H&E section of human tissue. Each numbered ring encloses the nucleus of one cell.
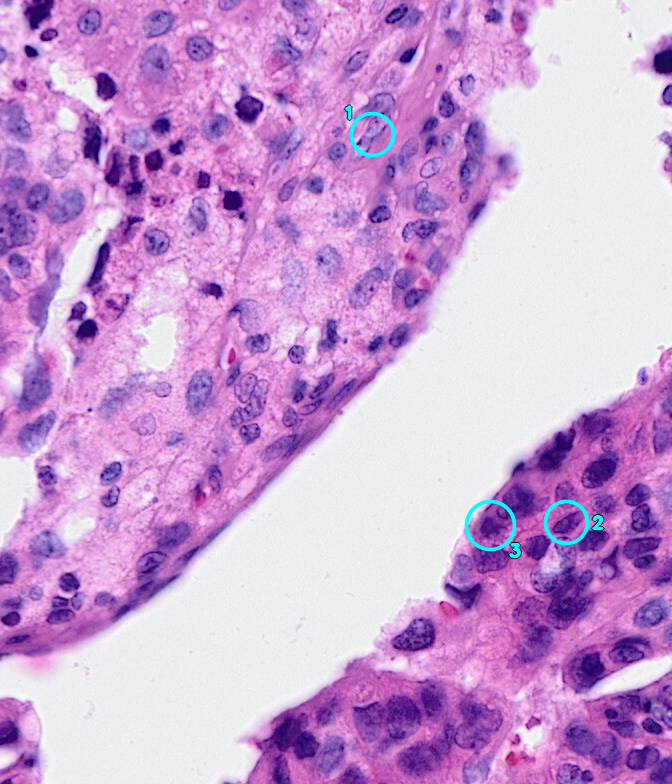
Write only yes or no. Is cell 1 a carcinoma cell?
no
